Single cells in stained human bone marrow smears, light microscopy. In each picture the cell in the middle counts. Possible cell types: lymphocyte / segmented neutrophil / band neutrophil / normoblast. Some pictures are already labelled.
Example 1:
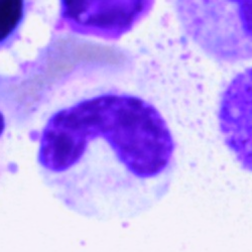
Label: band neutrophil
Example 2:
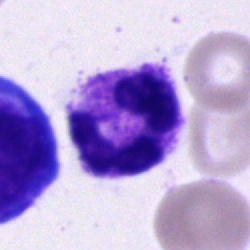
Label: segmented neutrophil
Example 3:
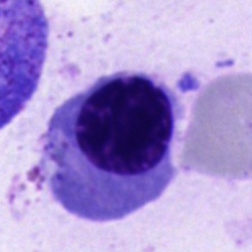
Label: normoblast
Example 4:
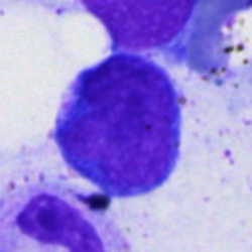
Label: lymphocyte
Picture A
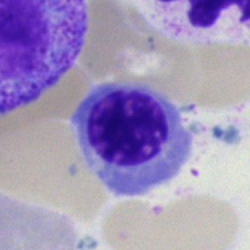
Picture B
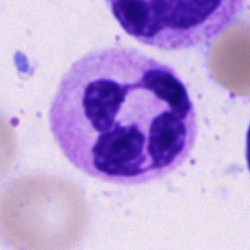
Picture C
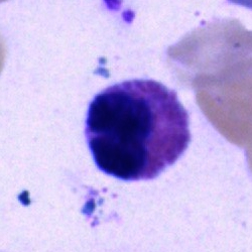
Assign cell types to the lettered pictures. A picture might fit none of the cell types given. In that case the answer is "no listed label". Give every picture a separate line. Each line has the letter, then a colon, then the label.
A: normoblast
B: segmented neutrophil
C: no listed label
